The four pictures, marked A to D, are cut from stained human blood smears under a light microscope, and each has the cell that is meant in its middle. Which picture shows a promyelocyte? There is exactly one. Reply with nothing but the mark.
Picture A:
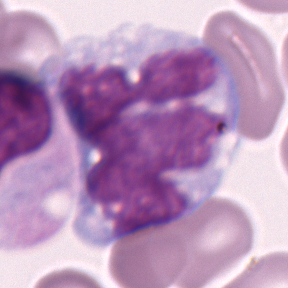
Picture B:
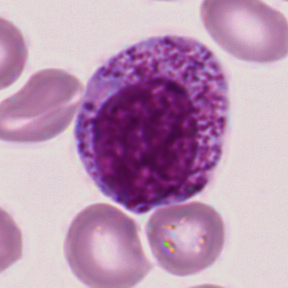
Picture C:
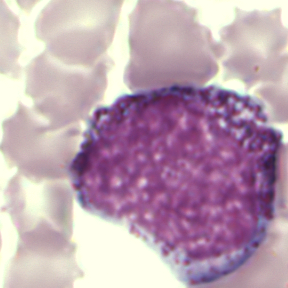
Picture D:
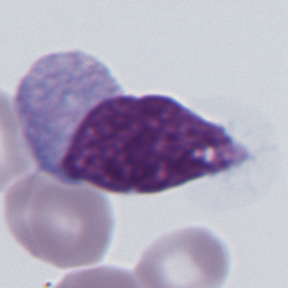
C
